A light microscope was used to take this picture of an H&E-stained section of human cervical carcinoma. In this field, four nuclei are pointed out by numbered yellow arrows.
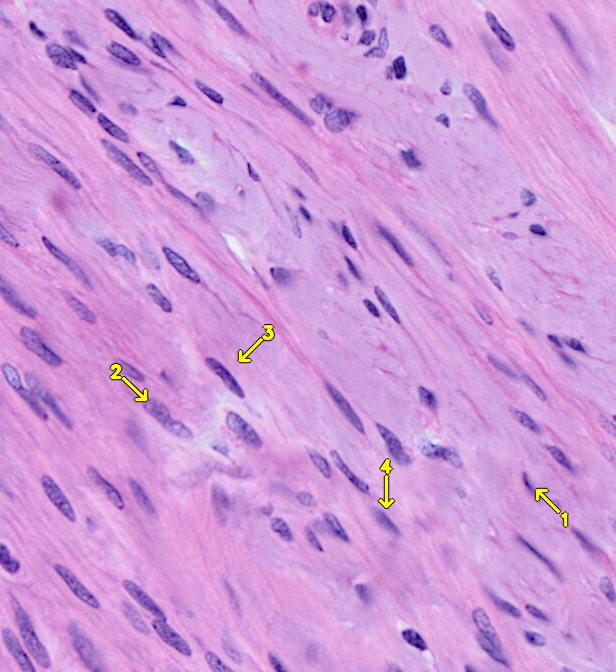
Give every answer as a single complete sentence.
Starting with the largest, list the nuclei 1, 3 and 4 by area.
From largest to smallest, the order is 3, 4, 1.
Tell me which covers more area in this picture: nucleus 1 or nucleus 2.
At about 3 times the area of nucleus 1, nucleus 2 is the larger of the two.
